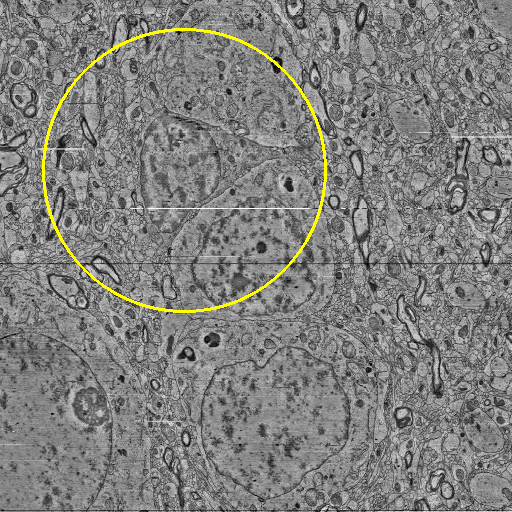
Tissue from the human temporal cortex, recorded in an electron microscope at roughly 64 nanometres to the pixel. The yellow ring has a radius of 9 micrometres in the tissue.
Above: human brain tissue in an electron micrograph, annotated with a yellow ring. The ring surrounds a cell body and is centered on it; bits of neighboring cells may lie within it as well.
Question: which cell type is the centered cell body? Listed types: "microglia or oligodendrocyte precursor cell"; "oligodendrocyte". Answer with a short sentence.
The centered cell body is an oligodendrocyte.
